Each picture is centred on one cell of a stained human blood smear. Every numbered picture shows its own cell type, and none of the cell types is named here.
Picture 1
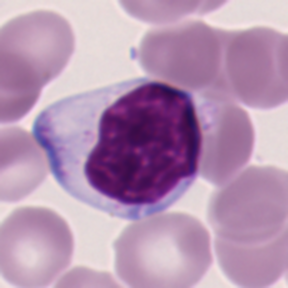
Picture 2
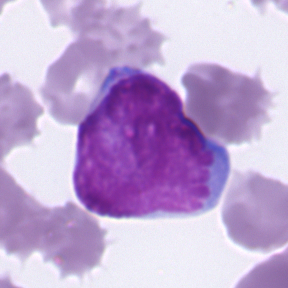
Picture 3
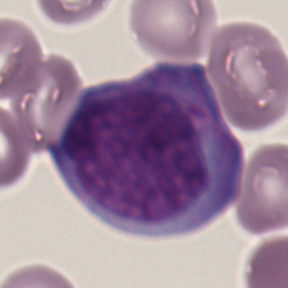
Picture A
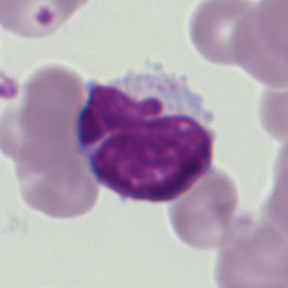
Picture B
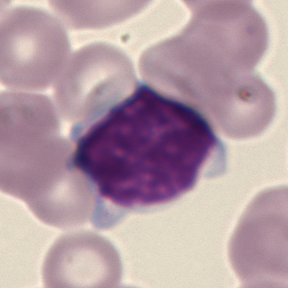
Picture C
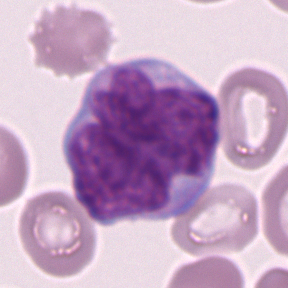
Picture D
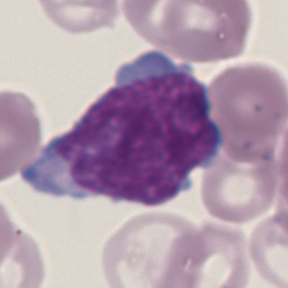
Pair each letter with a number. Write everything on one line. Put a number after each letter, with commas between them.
A 1, B 1, C 3, D 2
